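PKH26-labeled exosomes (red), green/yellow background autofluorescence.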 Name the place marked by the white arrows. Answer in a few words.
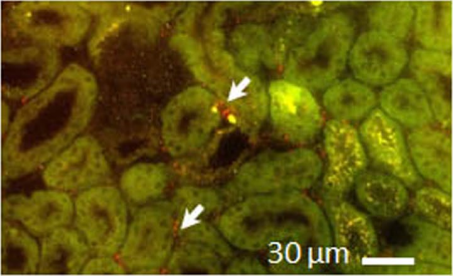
tubulointerstitial space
